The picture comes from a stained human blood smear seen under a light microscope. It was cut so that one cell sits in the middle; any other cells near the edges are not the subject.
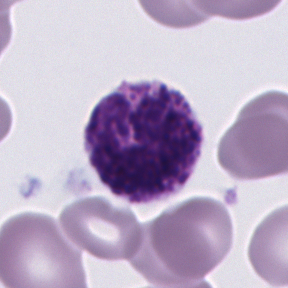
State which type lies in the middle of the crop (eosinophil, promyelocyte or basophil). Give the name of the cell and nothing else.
basophil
